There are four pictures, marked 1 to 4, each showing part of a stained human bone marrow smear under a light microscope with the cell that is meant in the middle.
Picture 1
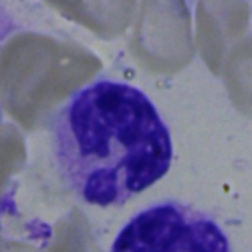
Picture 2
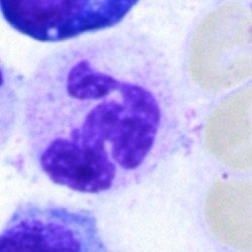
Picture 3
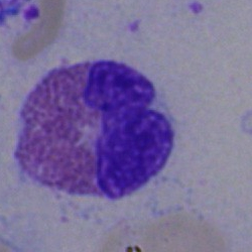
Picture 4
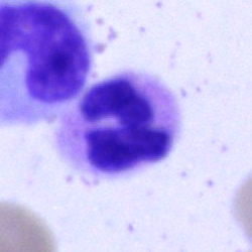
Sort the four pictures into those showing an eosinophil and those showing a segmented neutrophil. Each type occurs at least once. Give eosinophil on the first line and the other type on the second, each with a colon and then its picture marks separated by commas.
eosinophil: 3
segmented neutrophil: 1, 2, 4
